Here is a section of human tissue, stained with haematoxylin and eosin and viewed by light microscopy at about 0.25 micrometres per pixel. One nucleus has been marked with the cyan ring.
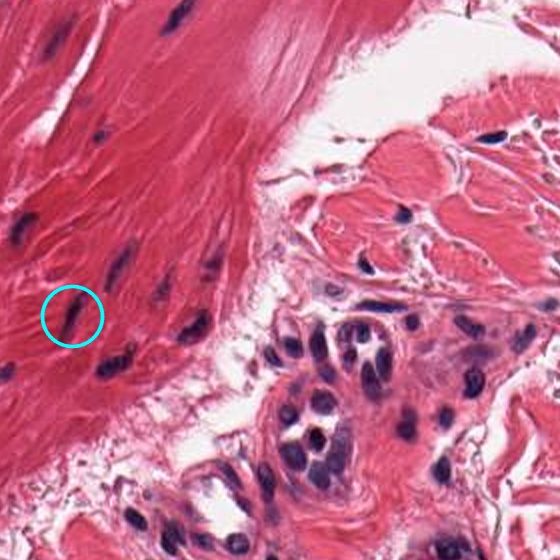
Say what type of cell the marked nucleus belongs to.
smooth muscle cell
